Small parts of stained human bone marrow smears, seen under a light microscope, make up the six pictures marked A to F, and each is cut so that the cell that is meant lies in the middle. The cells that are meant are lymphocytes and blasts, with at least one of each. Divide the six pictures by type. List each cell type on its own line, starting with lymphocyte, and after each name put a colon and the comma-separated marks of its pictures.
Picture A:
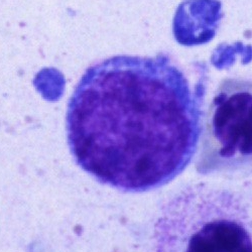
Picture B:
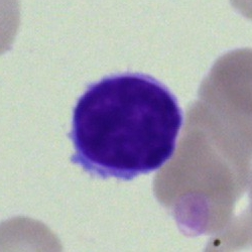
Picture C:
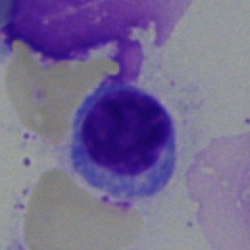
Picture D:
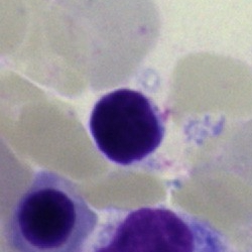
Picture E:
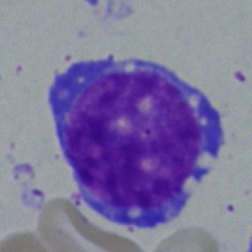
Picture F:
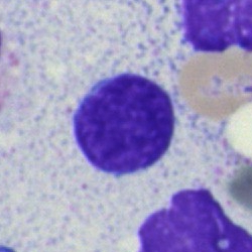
lymphocyte: B, C, D, F
blast: A, E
